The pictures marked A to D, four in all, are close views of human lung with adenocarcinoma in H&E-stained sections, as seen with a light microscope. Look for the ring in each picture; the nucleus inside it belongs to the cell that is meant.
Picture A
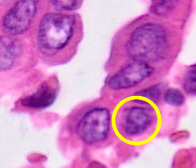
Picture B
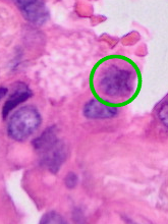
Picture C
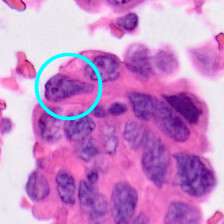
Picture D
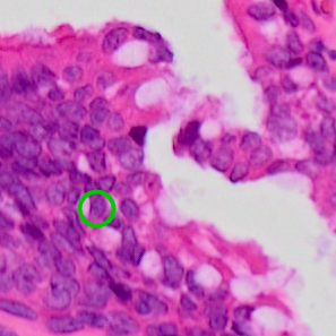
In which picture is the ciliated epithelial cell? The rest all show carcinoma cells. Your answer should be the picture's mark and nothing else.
D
